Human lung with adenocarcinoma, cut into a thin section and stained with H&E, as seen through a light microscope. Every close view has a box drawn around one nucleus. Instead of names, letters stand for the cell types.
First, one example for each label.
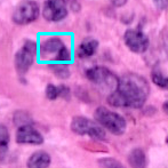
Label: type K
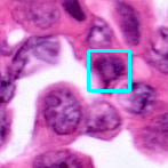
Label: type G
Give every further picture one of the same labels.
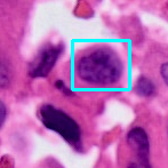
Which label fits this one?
type G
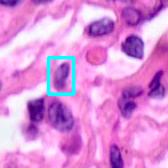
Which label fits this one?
type K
